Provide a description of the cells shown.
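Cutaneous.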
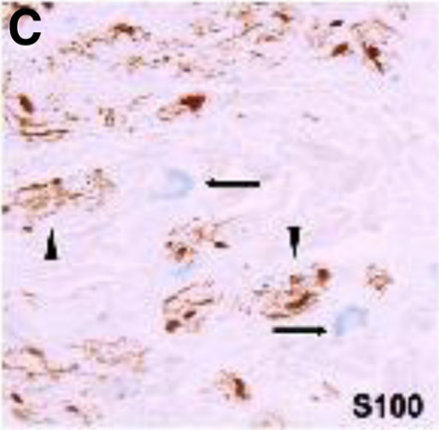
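This is loose, pale neurofibroma tissue in which many smaller cells are scattered, their cytoplasm stained dark brown. Between them lie a few cells whose nuclei form a curved, wreath-like arc in pale blue, with no brown in or around them. The brown cells make up the main population of neurofibroma tumour cells. The unstained cells with arc-shaped nuclei are floret-like giant cells, which stand out by their lack of staining against the brown tumour cells.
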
